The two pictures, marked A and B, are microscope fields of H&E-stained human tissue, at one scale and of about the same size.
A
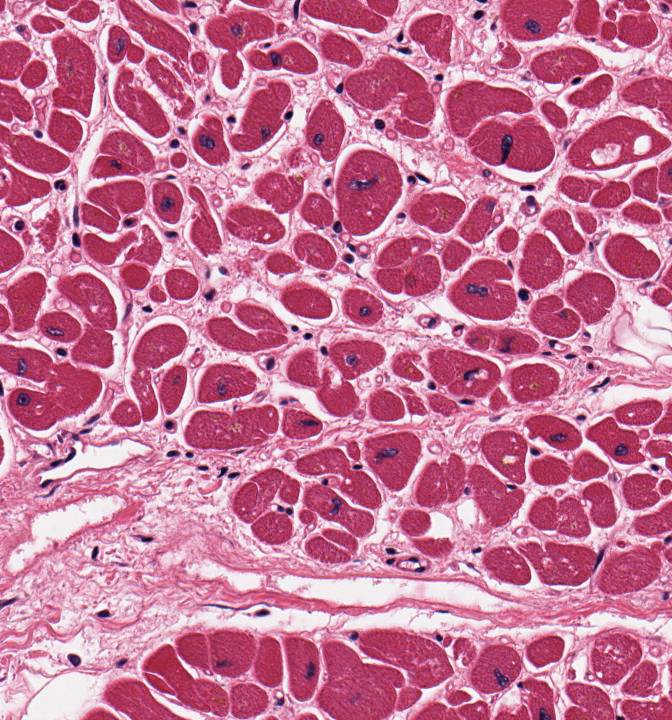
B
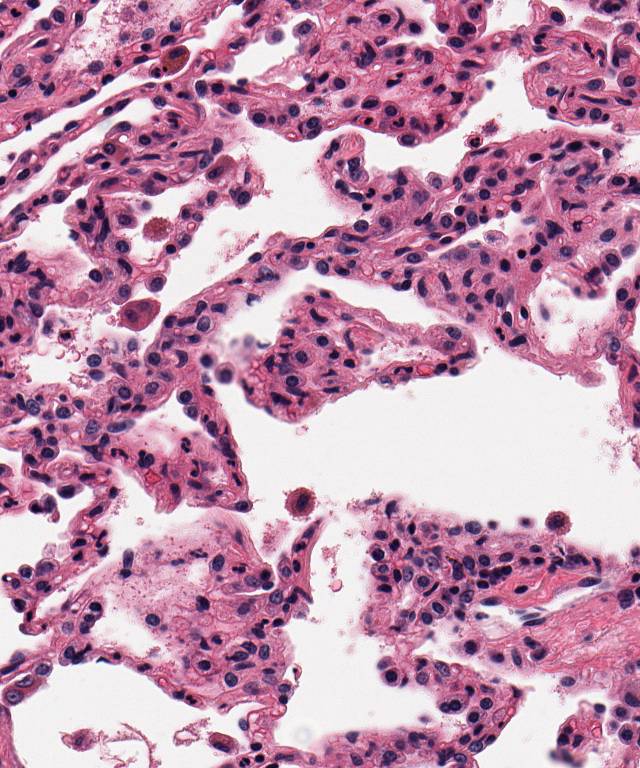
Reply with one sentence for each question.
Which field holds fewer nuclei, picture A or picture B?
There are fewer nuclei in picture A.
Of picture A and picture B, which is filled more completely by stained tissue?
Less of picture A is empty and white.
